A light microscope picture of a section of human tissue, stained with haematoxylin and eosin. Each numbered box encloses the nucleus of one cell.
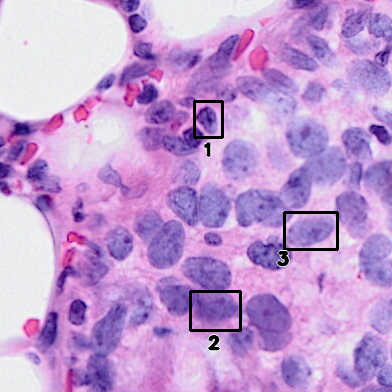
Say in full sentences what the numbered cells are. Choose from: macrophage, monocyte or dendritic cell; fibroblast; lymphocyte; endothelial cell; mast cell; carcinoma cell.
Cell 1 is a lymphocyte, cell 2 is a carcinoma cell and cell 3 is a carcinoma cell.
